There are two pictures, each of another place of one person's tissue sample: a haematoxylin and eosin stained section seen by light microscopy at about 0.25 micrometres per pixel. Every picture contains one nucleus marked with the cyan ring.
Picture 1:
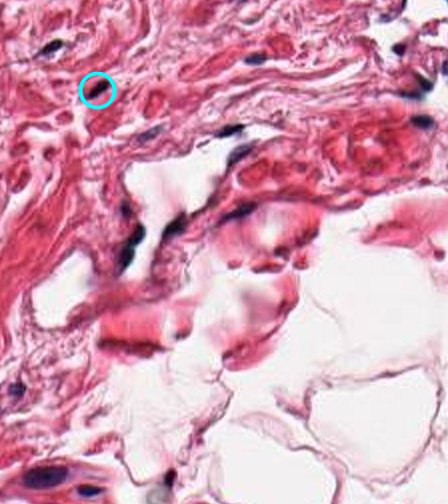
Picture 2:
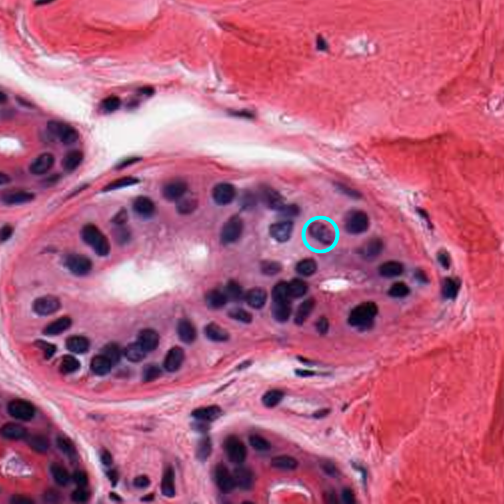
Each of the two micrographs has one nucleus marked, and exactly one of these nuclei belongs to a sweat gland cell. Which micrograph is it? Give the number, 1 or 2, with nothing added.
2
